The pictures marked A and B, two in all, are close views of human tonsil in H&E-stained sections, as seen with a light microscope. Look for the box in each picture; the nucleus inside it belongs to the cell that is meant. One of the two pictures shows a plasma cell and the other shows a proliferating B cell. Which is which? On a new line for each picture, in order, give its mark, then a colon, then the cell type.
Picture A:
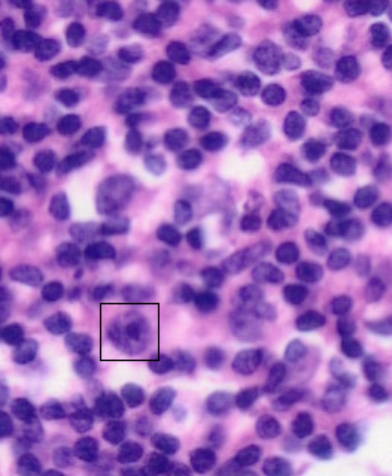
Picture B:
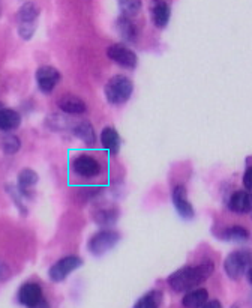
A: proliferating B cell
B: plasma cell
